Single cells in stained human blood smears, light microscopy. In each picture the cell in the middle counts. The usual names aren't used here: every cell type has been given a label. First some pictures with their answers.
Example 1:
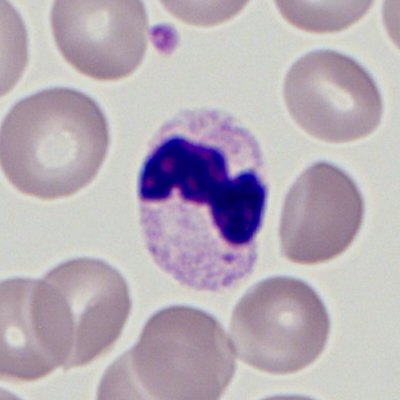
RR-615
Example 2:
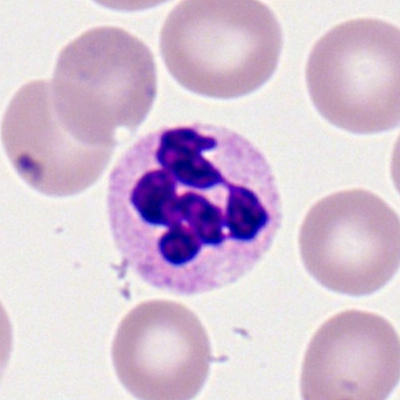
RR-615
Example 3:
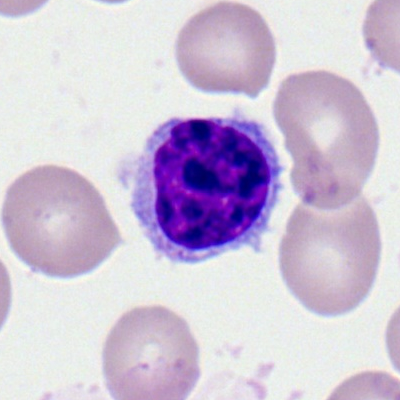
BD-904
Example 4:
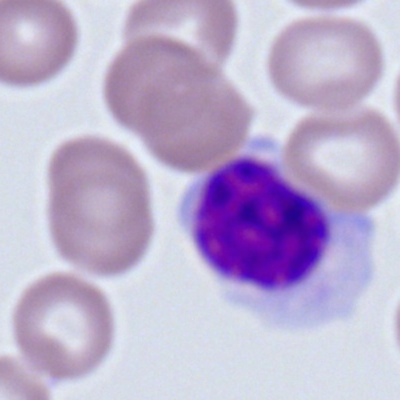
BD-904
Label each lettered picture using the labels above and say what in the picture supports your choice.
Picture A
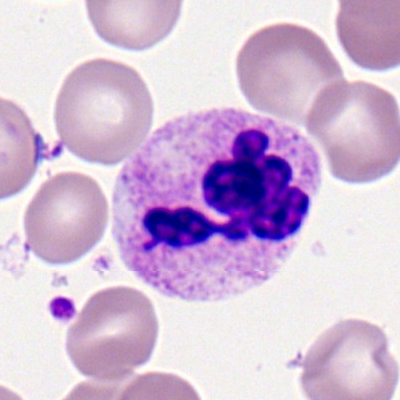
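RR-615. Reason: The cytoplasm is abundant and pale pinkish-lilac.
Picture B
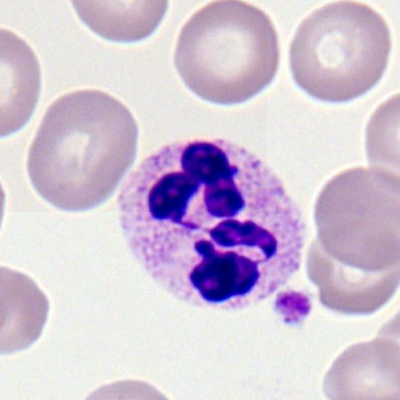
RR-615. Reason: The nucleus is divided into several separate lobes.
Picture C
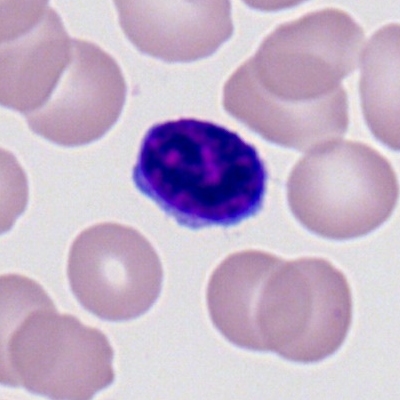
BD-904. Reason: The nucleus fills almost the whole cell, leaving only a scant rim of cytoplasm.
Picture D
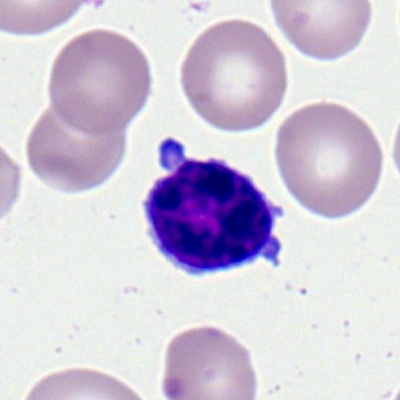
BD-904. Reason: Only a very thin rim of cytoplasm is visible around the nucleus.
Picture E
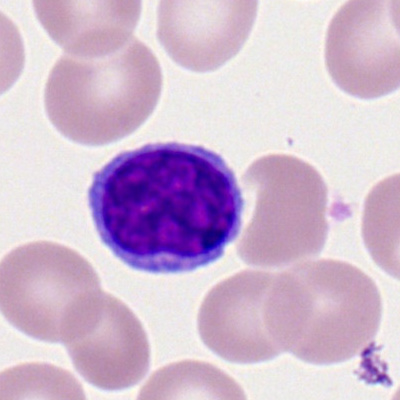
BD-904. Reason: The cytoplasm forms only a thin rim around the nucleus.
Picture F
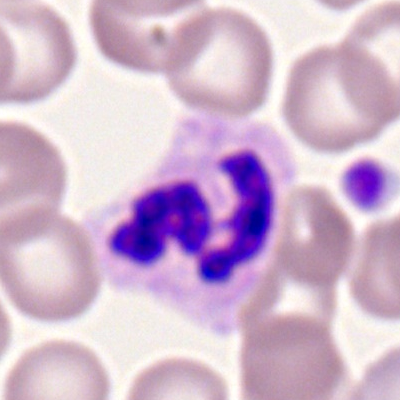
RR-615. Reason: The cytoplasm is plentiful and pale pinkish-lilac.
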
